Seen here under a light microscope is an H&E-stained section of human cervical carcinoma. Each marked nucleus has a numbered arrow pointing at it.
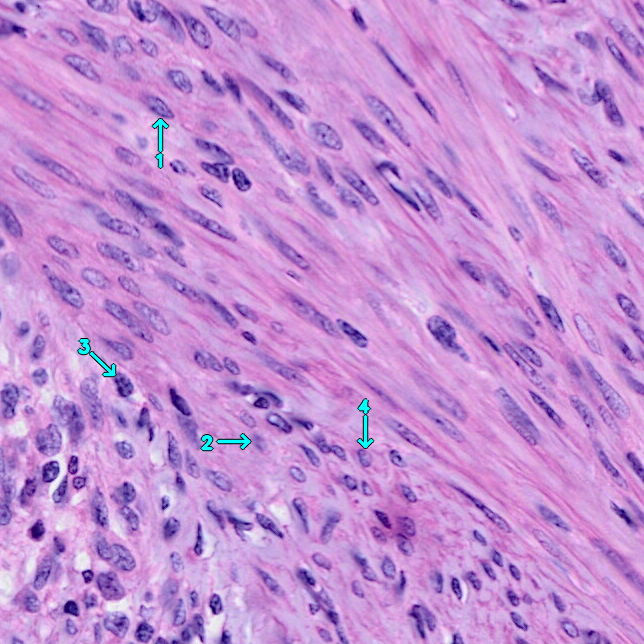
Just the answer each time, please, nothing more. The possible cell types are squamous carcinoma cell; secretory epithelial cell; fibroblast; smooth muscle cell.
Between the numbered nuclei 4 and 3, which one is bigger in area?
3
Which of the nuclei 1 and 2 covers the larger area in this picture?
1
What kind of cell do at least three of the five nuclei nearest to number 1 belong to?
smooth muscle cell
